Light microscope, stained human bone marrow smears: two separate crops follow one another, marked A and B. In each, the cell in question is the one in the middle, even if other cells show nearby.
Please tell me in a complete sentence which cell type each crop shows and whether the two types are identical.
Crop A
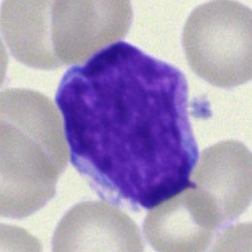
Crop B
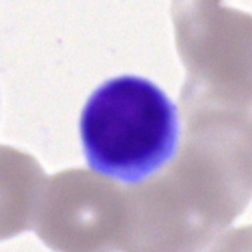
No, crop A offers a blast, while crop B offers a lymphocyte.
